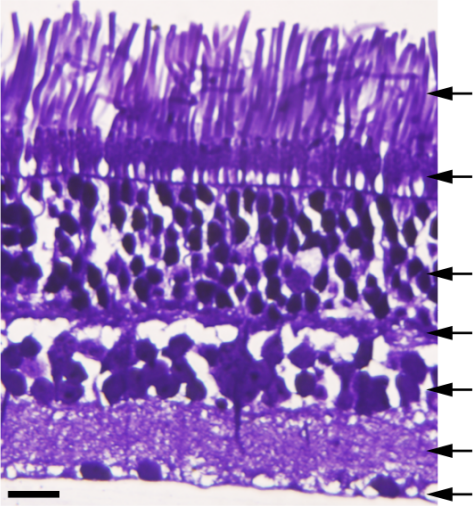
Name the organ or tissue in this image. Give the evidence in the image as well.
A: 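Long slender outer segments form a palisade along the top. Rows of dark nuclei form two layers separated by a thin fibrous band. A pale finely meshed layer lies above a thin basal row of cells. The answer: retina.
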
